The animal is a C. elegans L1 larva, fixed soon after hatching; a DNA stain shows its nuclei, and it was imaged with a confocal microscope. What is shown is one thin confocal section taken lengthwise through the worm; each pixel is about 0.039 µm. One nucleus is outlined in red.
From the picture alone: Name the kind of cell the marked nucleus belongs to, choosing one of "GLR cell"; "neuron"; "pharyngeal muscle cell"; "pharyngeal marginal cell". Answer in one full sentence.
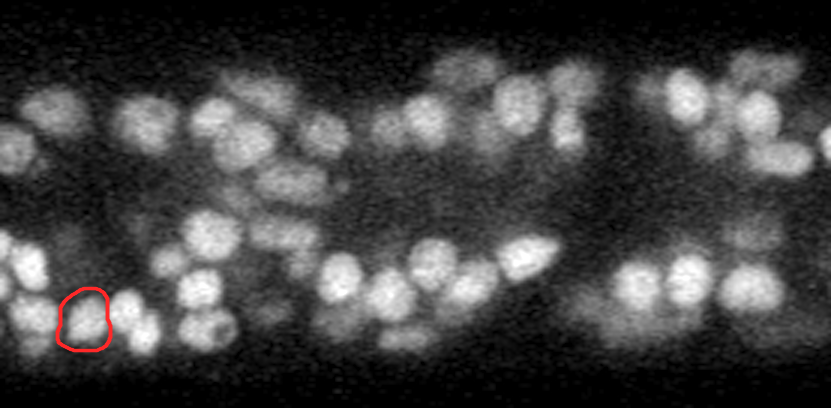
This is the nucleus of a neuron.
